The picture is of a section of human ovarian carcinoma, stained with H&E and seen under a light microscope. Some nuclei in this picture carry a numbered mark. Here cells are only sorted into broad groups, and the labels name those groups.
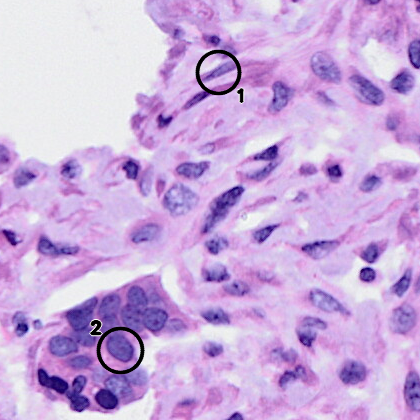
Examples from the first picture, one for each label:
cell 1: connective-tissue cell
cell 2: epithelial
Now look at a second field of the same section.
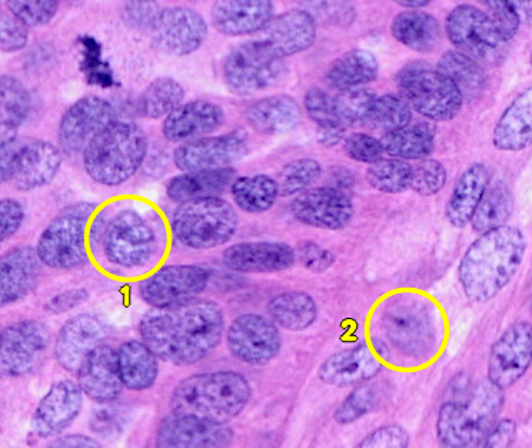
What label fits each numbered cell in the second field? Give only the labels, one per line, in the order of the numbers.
epithelial
connective-tissue cell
